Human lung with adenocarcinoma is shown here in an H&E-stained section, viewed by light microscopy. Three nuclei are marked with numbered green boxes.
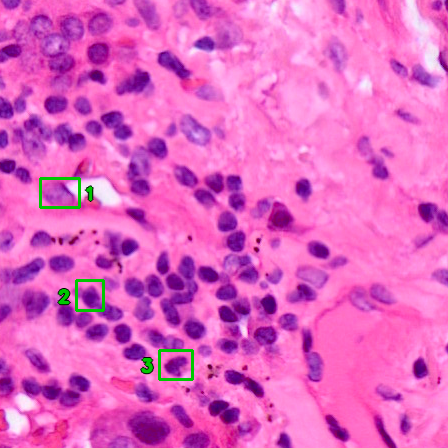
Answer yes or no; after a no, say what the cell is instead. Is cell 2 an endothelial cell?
No, it is a lymphocyte.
